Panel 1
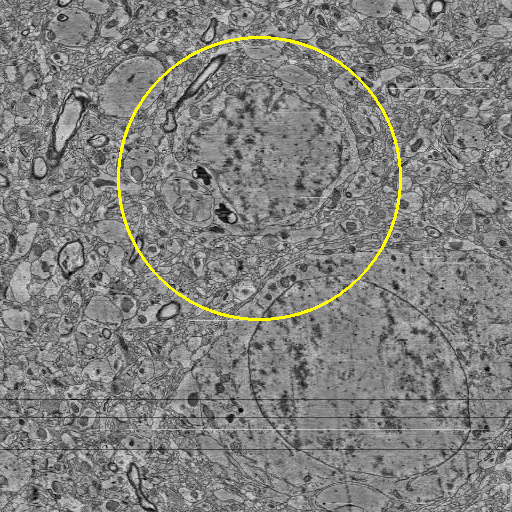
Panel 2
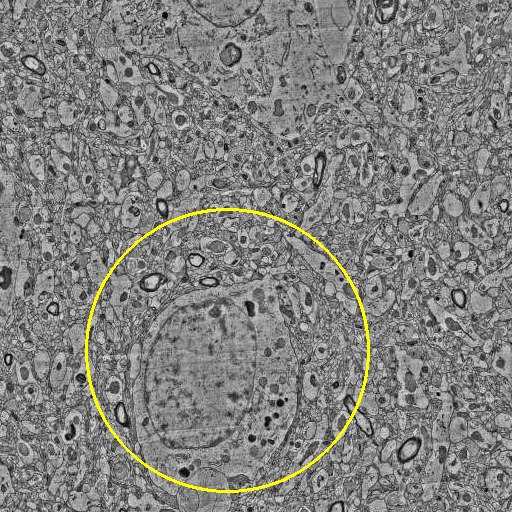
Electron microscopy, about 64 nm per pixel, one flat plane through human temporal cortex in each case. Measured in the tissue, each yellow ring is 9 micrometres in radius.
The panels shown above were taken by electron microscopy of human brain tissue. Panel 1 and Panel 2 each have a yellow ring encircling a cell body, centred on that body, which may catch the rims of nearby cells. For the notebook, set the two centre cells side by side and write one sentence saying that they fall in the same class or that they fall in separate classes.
The centred cells of Panel 1 and Panel 2 fall in the same class.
